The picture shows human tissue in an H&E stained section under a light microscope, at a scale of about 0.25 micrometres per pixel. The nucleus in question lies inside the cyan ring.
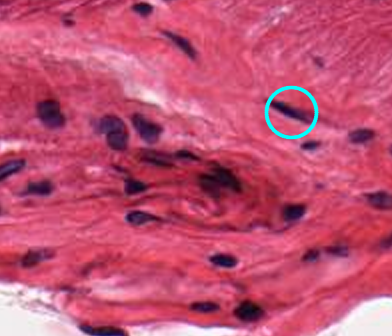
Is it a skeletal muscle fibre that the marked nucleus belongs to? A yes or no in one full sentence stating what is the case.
No, the marked nucleus forms part of a supporting cell instead of a skeletal muscle fibre.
